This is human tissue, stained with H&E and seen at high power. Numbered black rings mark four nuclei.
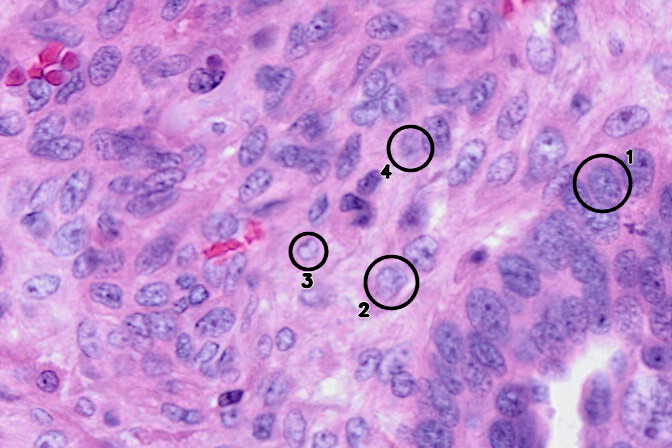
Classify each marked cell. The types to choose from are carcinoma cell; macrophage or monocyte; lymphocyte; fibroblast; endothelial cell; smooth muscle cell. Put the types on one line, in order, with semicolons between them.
carcinoma cell; fibroblast; fibroblast; fibroblast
